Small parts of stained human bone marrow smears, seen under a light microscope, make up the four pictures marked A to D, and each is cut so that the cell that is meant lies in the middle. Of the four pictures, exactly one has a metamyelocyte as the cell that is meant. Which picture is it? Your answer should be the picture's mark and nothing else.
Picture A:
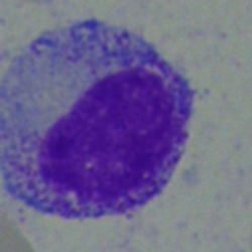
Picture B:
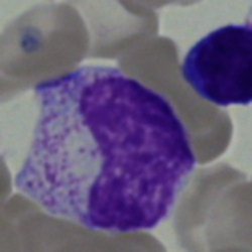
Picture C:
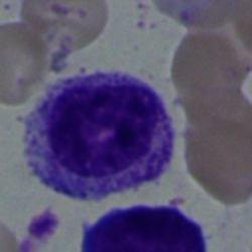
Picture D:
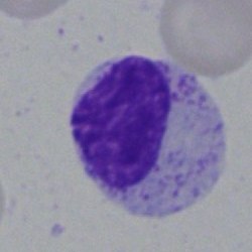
B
